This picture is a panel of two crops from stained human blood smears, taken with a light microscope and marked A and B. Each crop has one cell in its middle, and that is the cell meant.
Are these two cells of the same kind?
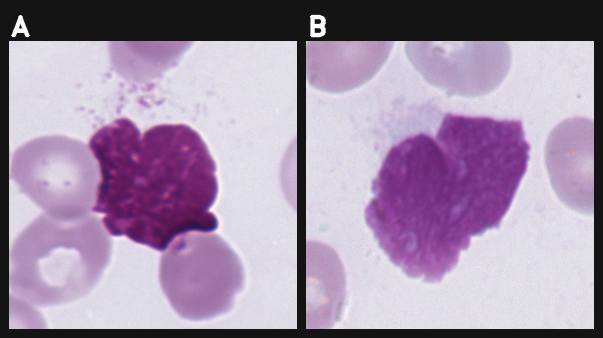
yes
